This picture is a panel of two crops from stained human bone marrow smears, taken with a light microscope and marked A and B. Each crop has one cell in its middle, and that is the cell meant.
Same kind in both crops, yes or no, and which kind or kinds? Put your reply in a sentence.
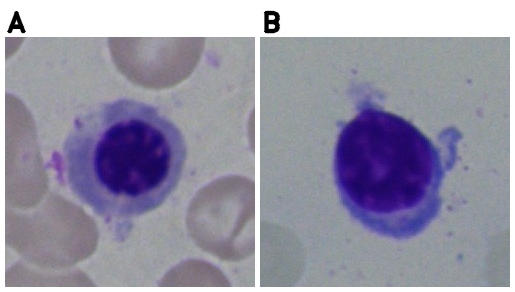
No, the correct reading is an erythroblast in crop A and a lymphocyte in crop B.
